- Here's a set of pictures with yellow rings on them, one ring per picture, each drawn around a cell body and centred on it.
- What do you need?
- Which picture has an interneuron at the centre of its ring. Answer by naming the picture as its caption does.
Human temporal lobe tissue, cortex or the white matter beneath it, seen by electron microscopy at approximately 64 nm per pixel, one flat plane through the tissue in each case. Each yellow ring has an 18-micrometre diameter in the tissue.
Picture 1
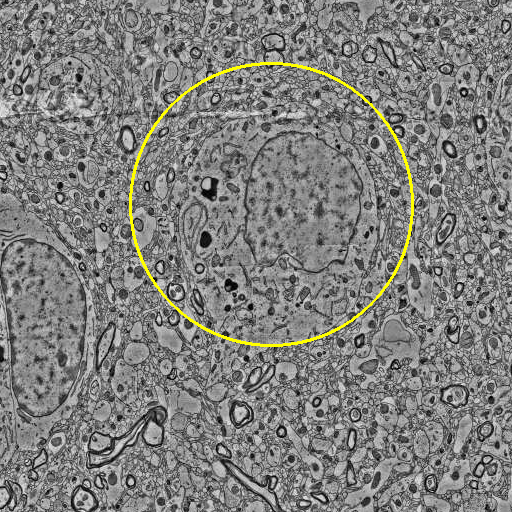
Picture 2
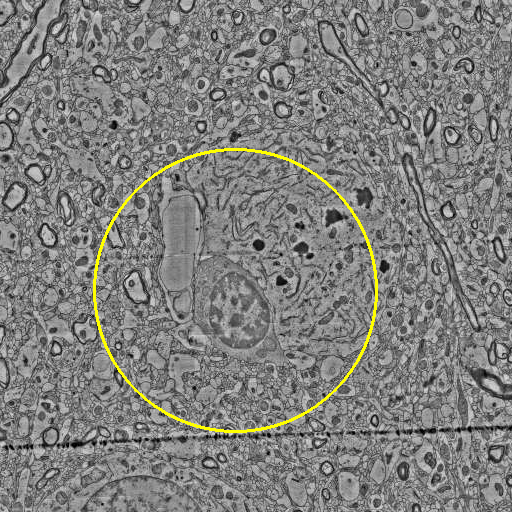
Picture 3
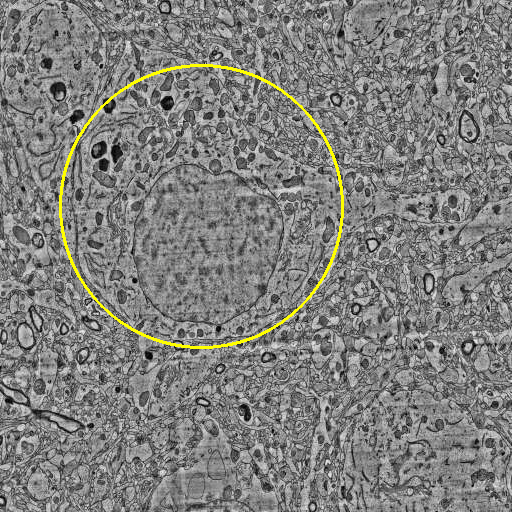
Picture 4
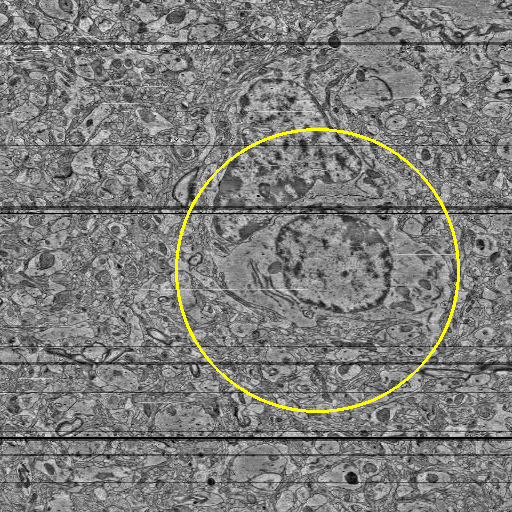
Picture 3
